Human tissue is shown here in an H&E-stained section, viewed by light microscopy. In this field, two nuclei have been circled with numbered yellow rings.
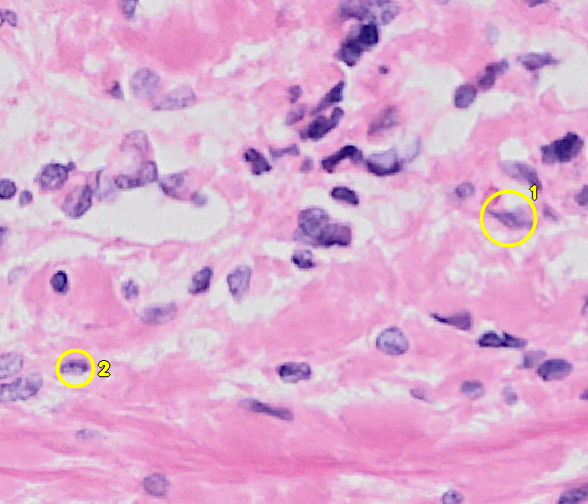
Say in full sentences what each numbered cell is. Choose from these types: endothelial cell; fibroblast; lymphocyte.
Cell 1 is an endothelial cell. Cell 2 is a fibroblast.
